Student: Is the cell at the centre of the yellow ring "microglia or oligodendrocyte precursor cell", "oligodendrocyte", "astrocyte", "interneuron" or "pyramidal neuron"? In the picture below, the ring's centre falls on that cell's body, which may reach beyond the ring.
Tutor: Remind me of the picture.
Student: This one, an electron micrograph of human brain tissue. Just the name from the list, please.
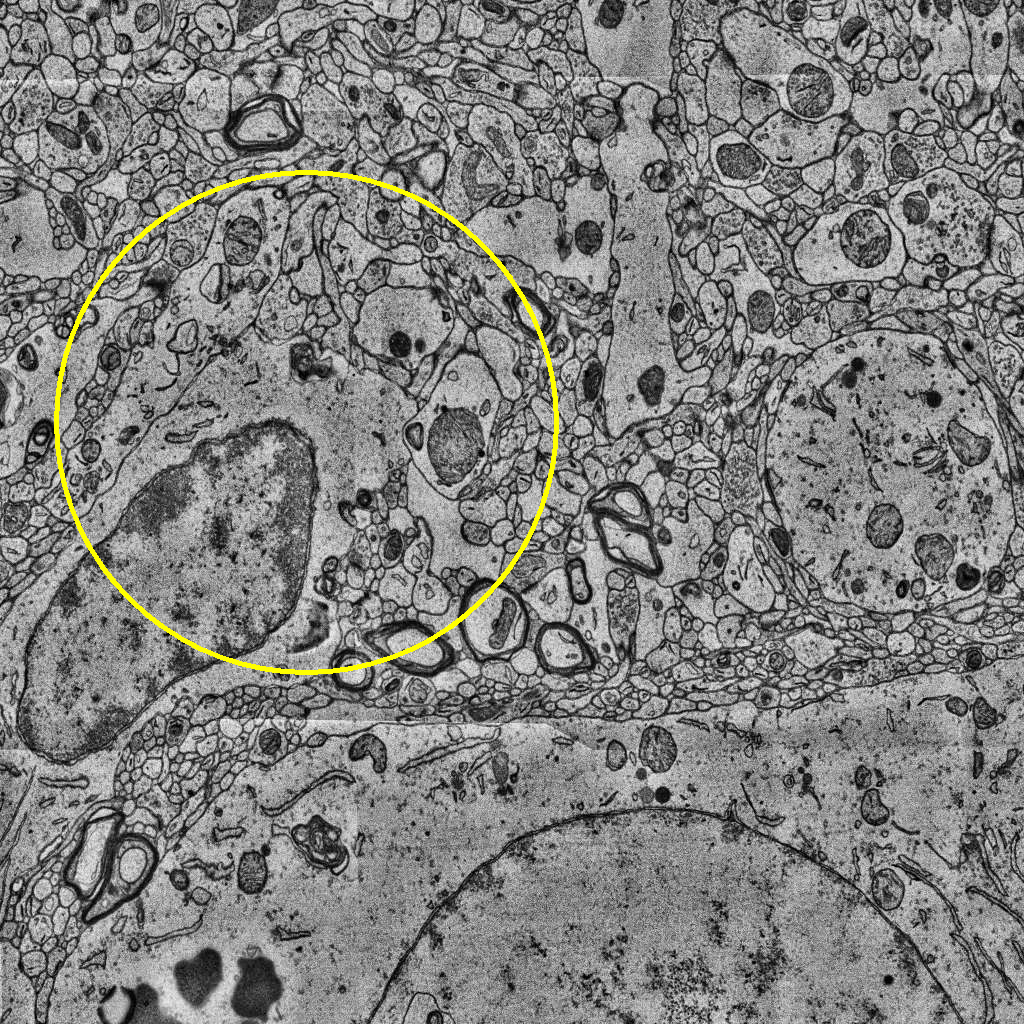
microglia or oligodendrocyte precursor cell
